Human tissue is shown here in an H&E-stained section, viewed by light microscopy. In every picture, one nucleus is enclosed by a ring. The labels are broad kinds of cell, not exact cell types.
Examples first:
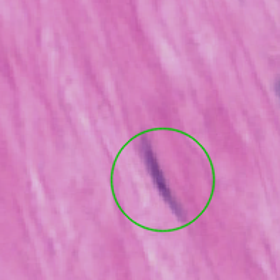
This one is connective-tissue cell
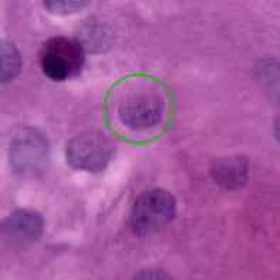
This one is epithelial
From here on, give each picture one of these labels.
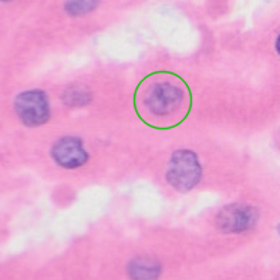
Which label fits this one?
epithelial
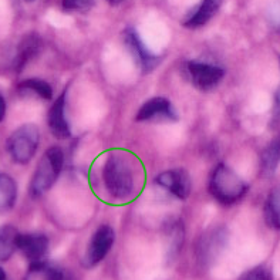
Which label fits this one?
epithelial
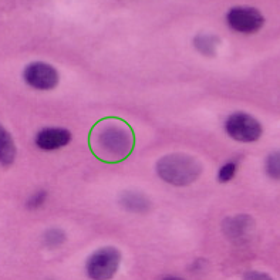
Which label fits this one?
epithelial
